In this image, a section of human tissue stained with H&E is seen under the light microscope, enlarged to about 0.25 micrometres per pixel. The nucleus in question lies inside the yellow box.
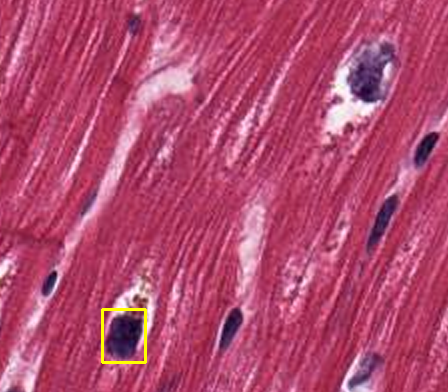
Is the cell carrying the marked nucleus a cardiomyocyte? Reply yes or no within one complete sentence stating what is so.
Yes, the marked nucleus, as shown, belongs to a cardiomyocyte.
